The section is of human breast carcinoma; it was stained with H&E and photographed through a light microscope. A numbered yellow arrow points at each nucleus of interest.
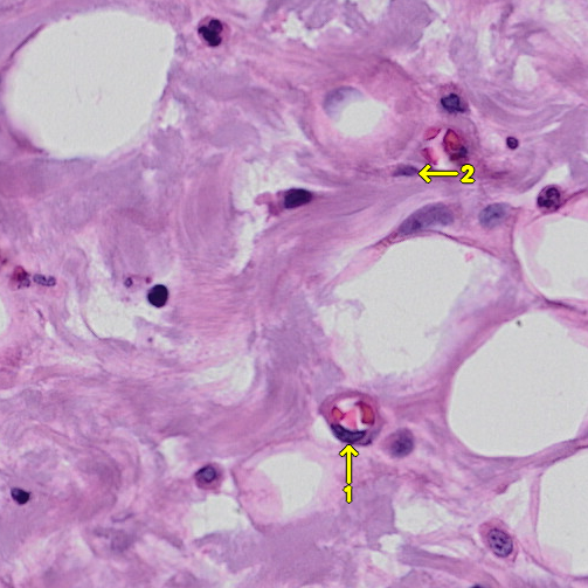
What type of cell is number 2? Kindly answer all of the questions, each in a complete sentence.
Cell 2, among those numbered, is a fibroblast.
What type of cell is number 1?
The correct answer for cell 1 is an endothelial cell.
